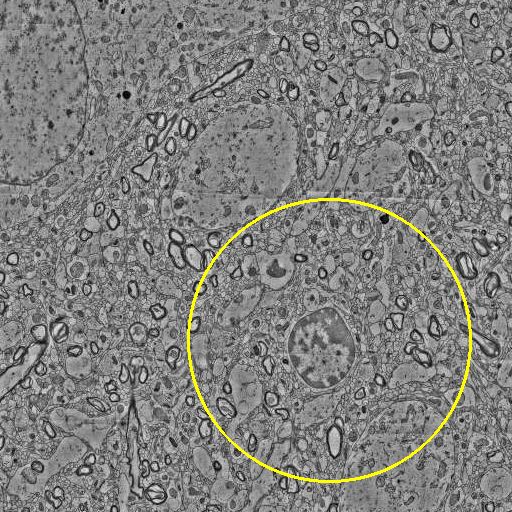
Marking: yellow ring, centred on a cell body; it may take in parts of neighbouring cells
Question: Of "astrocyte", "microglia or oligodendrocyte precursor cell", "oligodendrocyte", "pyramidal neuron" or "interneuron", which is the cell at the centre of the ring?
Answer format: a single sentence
The ring surrounds the body of a microglial cell or oligodendrocyte precursor cell.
